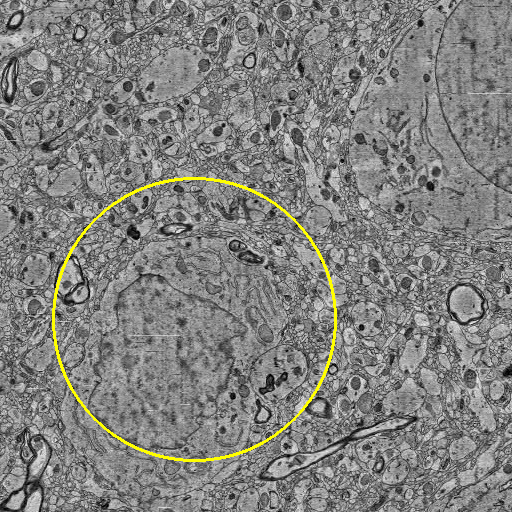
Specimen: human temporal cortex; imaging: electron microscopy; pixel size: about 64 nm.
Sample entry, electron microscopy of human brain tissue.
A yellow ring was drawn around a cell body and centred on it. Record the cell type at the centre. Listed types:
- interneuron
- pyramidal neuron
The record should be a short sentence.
The cell at the ring's centre is an interneuron.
